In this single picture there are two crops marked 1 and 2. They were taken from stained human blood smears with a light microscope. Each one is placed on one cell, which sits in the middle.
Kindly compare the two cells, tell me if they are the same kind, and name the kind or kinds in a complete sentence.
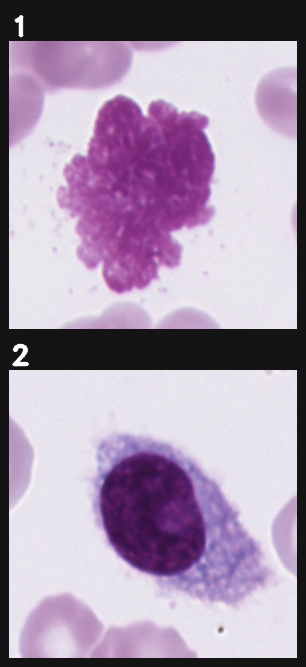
No, a hairy cell is in crop 2, and a smudge cell is in crop 1.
